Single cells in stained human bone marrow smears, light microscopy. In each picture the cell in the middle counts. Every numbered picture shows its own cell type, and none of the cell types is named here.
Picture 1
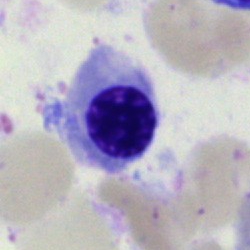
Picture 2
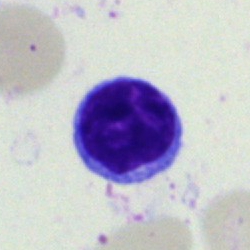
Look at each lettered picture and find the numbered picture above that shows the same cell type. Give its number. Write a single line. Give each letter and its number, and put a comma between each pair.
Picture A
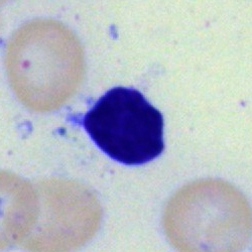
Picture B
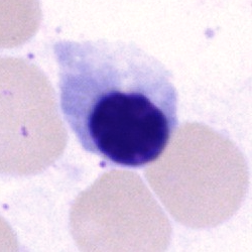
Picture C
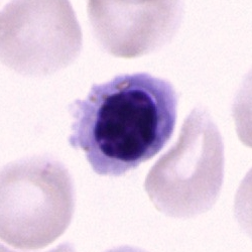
A 2, B 1, C 1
